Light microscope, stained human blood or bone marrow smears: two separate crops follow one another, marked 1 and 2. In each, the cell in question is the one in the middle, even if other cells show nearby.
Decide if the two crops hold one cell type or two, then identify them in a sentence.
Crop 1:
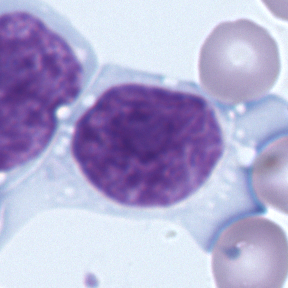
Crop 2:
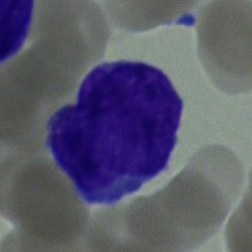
Yes, what both crops show is blasts.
